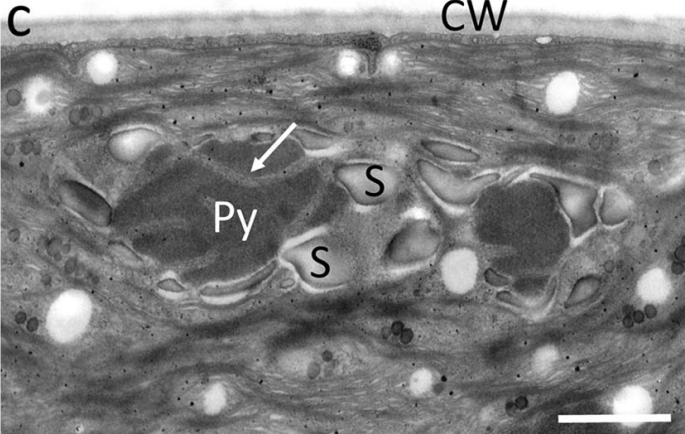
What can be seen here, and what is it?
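Detail of an algal chloroplast lying beneath the cell wall, packed with long parallel membrane lamellae. Dense, finely granular pyrenoids sit in the middle, each ringed by pale, lens-shaped starch grains with bright edges. Thin membrane lines cross the pyrenoid matrix. Small dark round droplets and clear vesicles are scattered among the lamellae.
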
